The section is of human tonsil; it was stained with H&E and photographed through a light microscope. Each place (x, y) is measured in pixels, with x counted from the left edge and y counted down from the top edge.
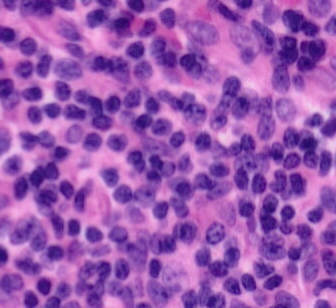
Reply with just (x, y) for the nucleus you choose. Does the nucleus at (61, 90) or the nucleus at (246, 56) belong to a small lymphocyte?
(61, 90)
